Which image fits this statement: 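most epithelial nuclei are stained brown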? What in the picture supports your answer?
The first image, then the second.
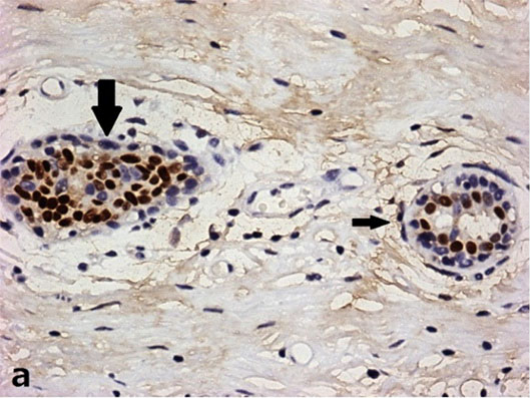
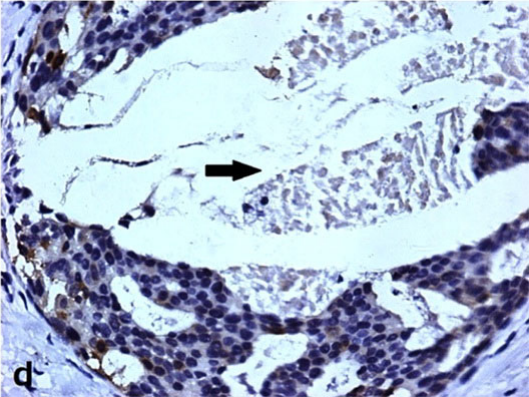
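First image: most nuclei in the epithelial clusters are dark brown. That points to this answer: the first image.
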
